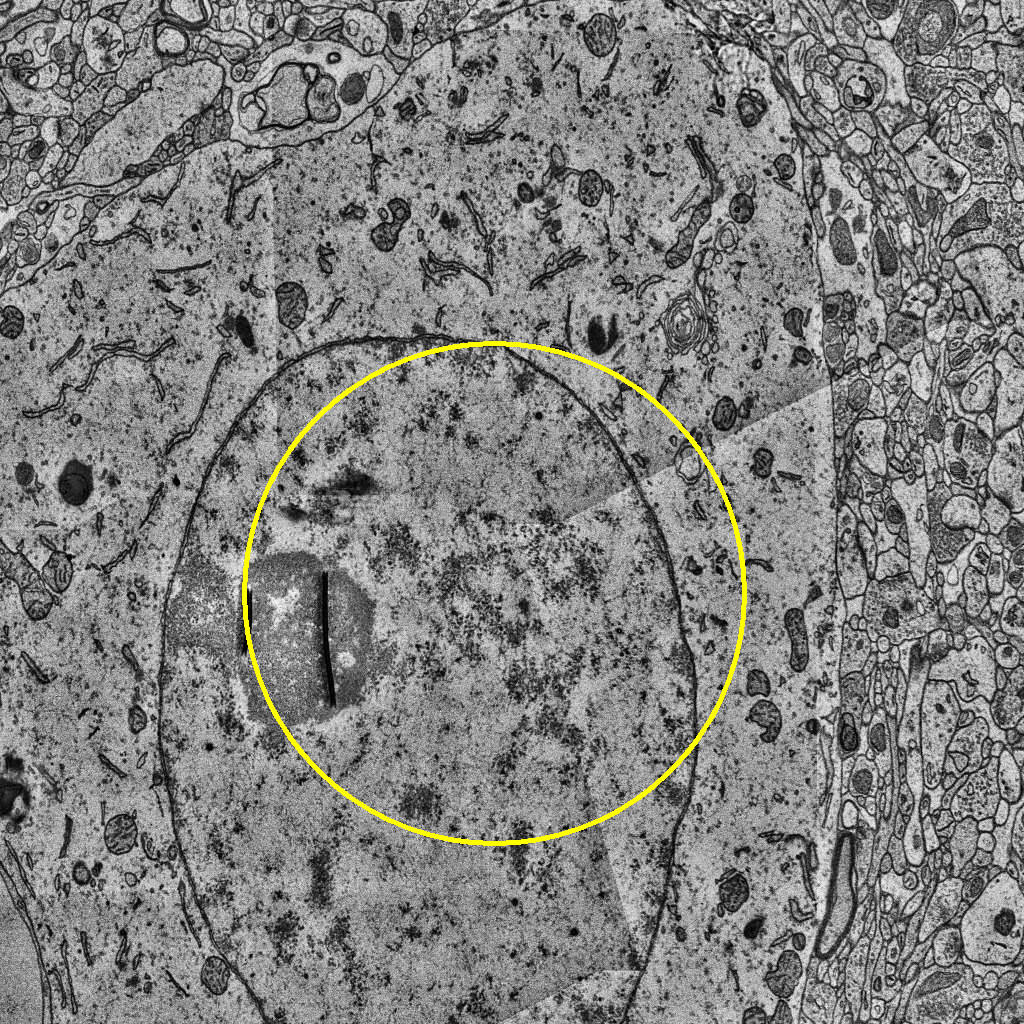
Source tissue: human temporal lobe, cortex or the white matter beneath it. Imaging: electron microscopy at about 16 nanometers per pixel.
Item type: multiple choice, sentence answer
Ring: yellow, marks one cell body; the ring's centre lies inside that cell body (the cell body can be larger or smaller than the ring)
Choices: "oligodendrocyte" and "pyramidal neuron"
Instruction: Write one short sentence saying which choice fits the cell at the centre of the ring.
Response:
The centre of this ring lies on a pyramidal neuron.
